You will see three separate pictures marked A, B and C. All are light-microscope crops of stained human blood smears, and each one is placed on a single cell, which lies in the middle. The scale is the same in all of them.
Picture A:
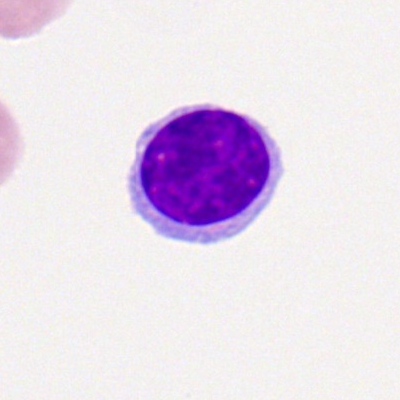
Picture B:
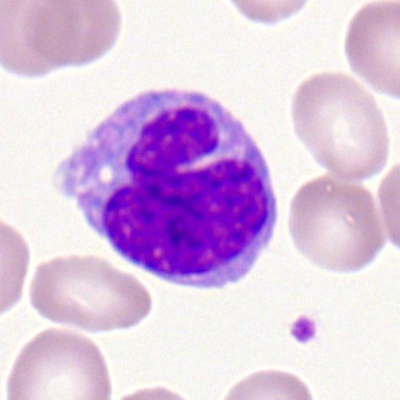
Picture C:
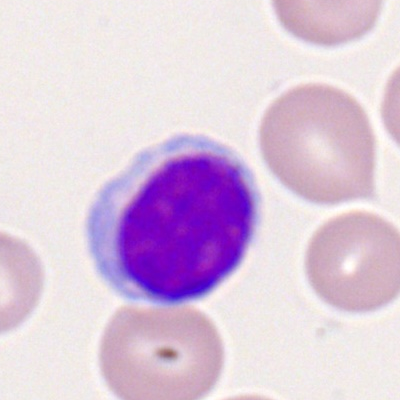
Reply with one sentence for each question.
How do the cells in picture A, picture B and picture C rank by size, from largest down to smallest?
From the largest down, the order is B, C, A.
